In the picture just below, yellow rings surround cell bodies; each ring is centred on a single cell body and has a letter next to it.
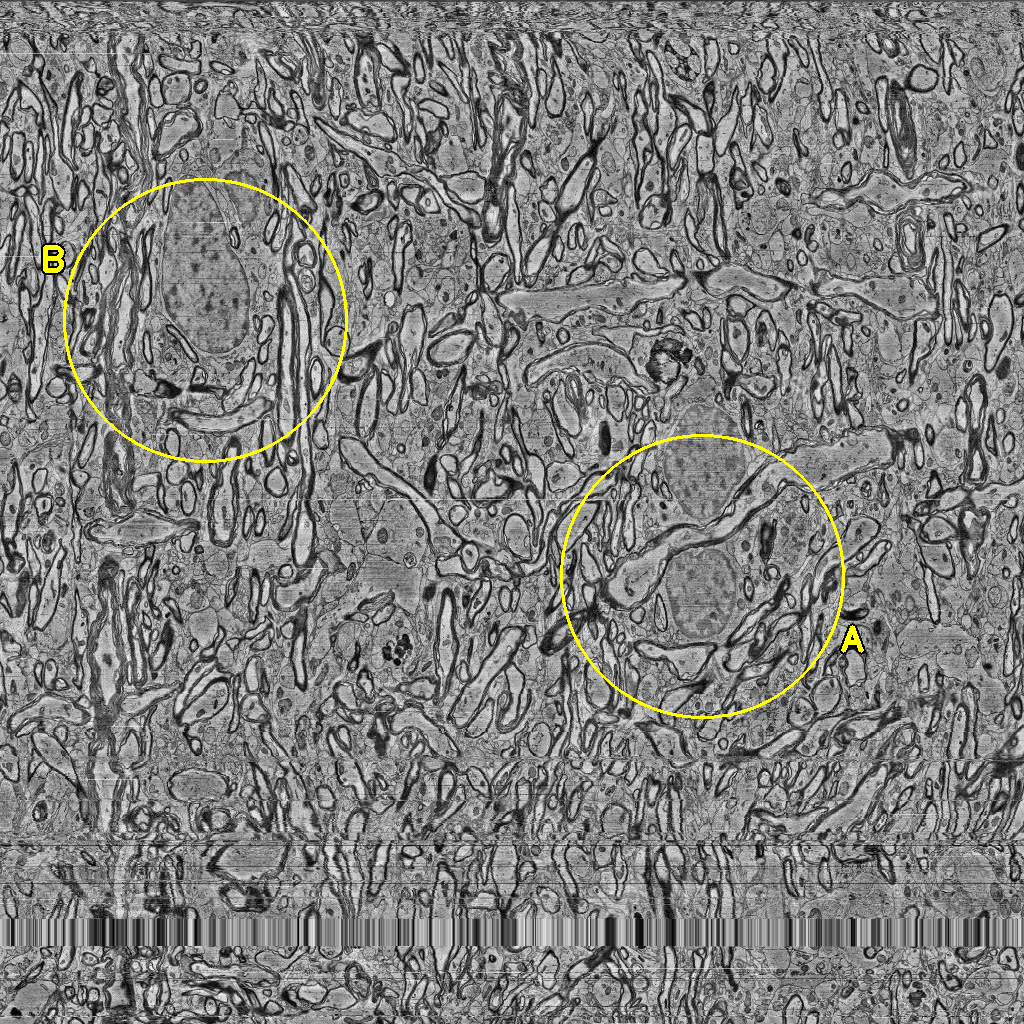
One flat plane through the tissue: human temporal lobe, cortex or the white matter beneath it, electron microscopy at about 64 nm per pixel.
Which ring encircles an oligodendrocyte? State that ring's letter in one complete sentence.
The letter A marks the ring centred on the cell asked for in the picture.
